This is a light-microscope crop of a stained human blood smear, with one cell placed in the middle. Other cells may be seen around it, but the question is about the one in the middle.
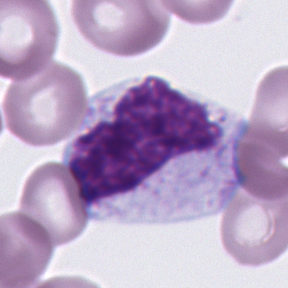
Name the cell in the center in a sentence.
The cell that lies at the centre of the crop is a band neutrophil.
